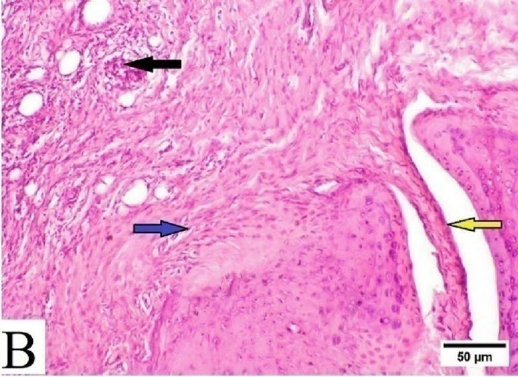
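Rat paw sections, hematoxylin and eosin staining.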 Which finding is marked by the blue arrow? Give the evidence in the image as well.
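Fibroplasia. Spindle-shaped cells with elongated nuclei lie in streaming bundles. The fibrous cellular tissue presses against the pink cartilage.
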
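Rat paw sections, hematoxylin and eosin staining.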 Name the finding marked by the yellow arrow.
pannus formation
